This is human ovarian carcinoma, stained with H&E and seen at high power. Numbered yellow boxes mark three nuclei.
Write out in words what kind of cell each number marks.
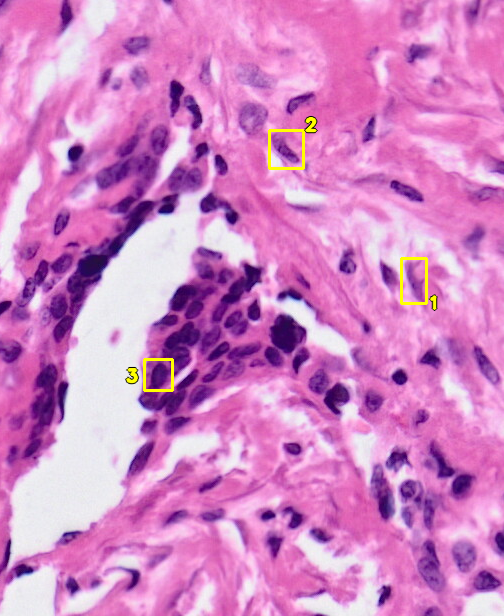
Cells 1 and 2 are fibroblasts. Cell 3 is a carcinoma cell.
